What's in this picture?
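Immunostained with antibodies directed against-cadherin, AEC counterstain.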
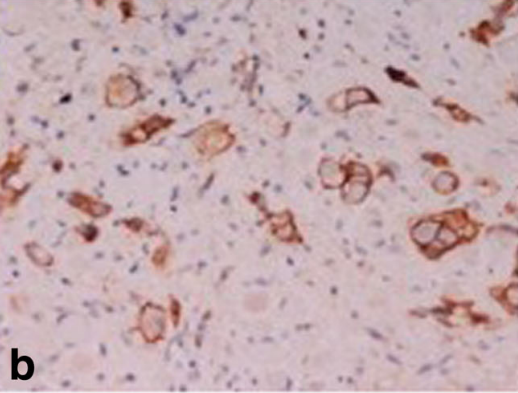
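Scattered tumor cells stand out by brown staining outlining their cell membranes, some with pale centres and round to polygonal shapes. They lie singly and in small groups within a pale stroma containing small blue nuclei of unstained cells.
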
